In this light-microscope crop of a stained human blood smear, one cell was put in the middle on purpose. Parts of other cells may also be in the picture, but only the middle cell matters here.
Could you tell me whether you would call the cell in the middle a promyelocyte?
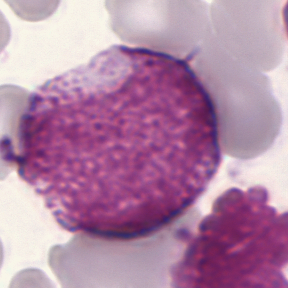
yes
